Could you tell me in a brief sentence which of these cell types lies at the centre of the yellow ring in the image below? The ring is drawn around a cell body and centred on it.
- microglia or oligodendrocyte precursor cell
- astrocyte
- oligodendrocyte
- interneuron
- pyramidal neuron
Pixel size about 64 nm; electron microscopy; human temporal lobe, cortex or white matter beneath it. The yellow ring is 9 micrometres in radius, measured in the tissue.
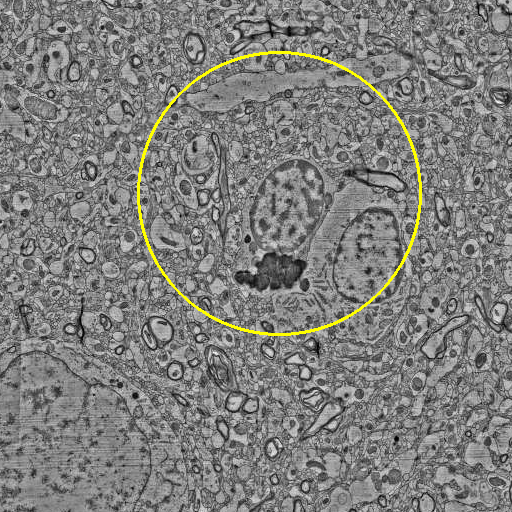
The cell centred in the ring is an oligodendrocyte.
